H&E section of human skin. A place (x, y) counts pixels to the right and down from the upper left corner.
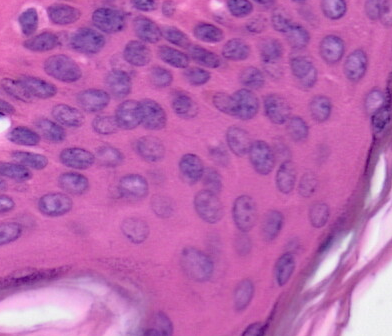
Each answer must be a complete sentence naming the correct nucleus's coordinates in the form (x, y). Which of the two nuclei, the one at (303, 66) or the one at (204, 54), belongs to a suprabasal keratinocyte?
Out of the two, it is the nucleus at (303, 66) that belongs to a suprabasal keratinocyte.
